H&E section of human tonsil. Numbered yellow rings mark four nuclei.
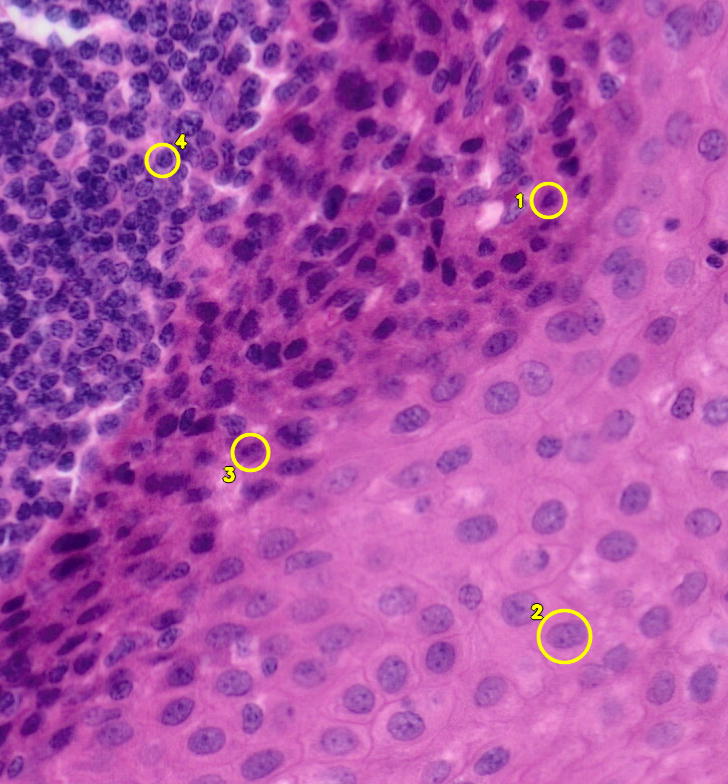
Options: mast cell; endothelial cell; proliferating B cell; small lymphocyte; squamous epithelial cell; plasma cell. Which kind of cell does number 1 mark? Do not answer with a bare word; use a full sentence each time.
Nucleus 1 in this section belongs to a squamous epithelial cell.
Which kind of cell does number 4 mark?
Denoted by the label 4 in the section is a small lymphocyte.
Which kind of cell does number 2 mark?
In the marked set, the cell given number 2 is a squamous epithelial cell.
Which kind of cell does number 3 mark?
At number 3, the marked cell is a squamous epithelial cell.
